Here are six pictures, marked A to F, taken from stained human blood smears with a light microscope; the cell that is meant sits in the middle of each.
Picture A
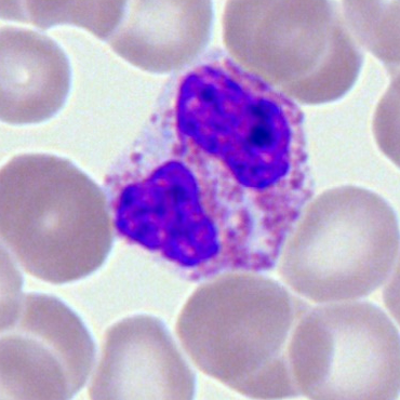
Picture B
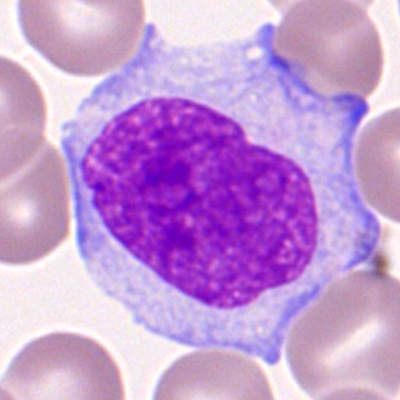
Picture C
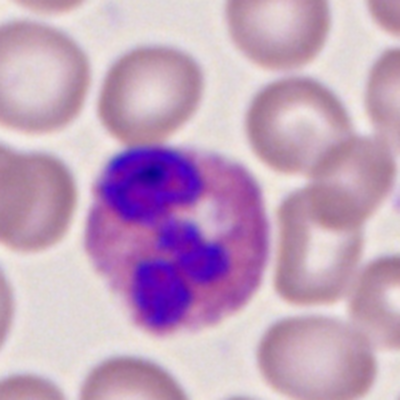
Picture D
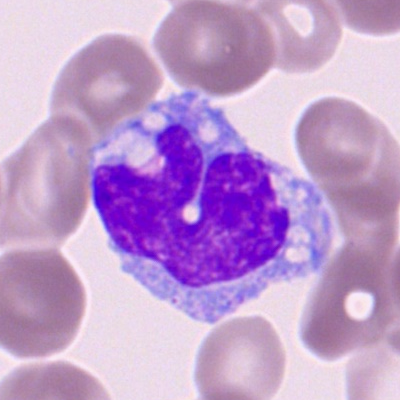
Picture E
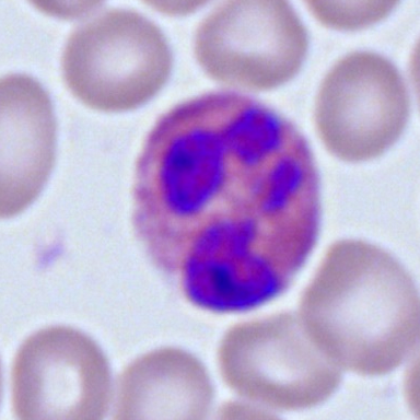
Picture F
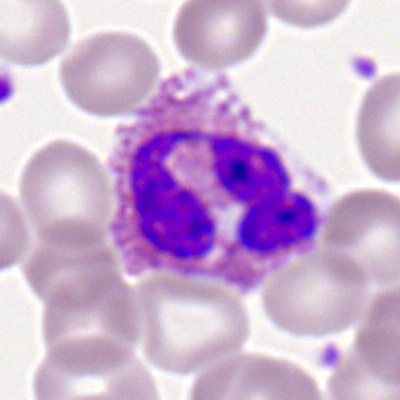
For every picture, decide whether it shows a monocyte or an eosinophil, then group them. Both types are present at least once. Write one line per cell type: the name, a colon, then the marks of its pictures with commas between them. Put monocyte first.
monocyte: B, D
eosinophil: A, C, E, F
